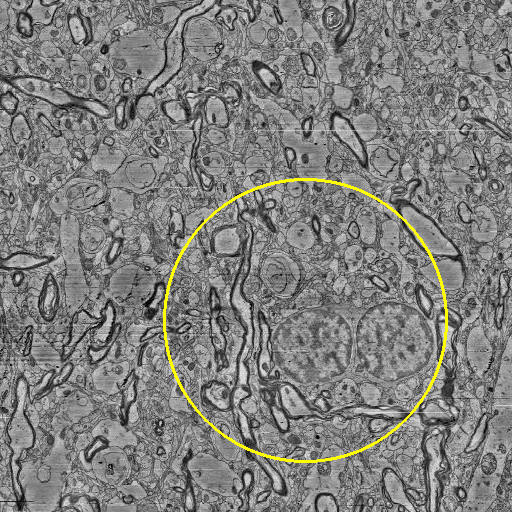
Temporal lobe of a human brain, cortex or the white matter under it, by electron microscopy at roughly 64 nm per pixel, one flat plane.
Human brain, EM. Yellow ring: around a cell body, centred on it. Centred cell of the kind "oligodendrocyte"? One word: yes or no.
yes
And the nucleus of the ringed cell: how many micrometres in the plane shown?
The nucleus is about 5 micrometres across in this plane.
